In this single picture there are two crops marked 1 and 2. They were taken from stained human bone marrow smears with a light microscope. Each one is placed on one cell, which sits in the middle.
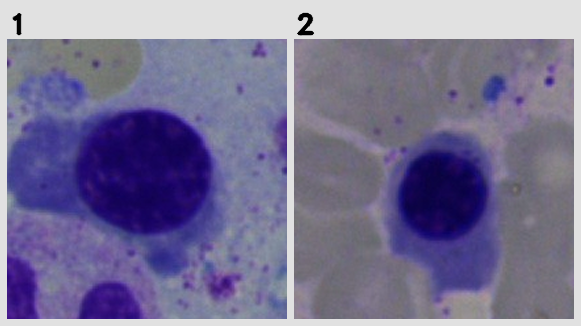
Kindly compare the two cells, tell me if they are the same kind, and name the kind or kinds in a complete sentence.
Yes, both crops show erythroblasts as their central cells.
